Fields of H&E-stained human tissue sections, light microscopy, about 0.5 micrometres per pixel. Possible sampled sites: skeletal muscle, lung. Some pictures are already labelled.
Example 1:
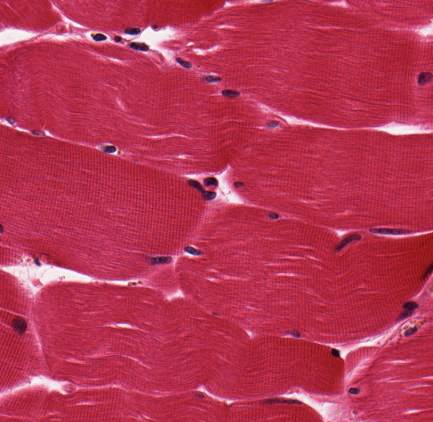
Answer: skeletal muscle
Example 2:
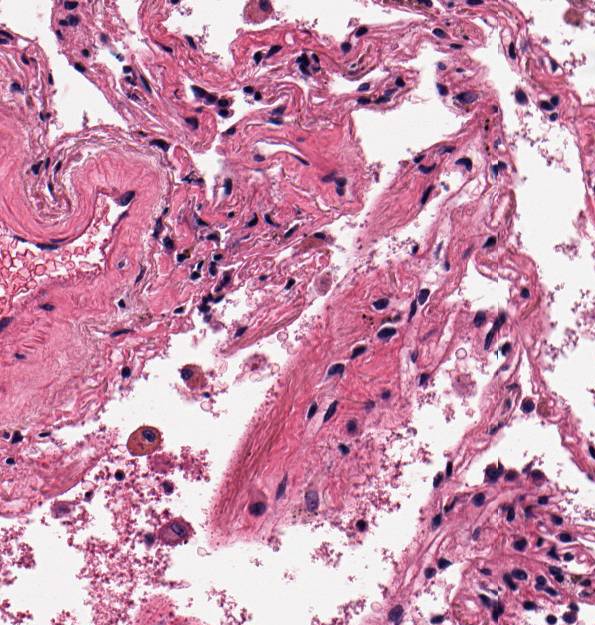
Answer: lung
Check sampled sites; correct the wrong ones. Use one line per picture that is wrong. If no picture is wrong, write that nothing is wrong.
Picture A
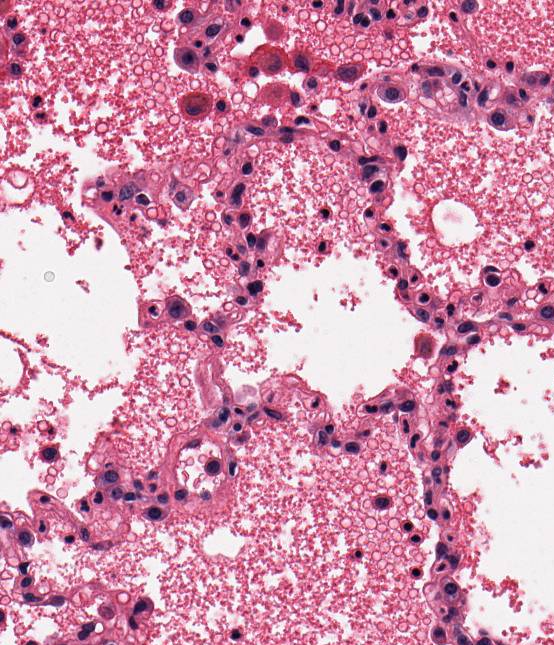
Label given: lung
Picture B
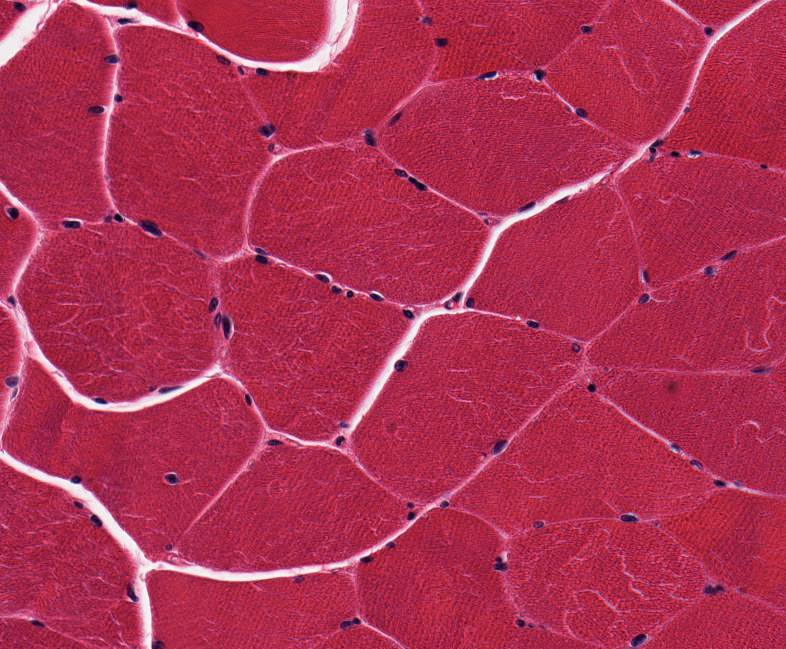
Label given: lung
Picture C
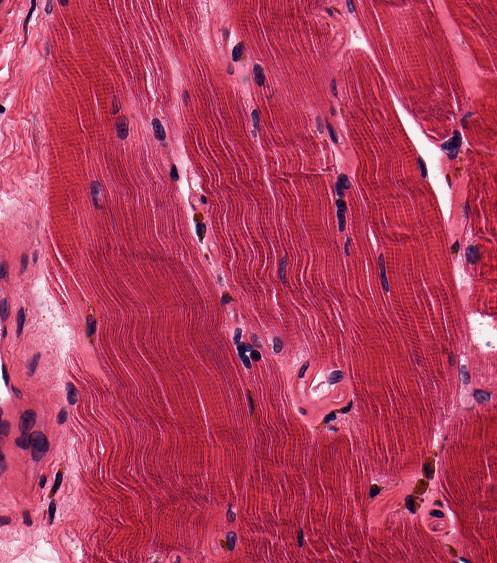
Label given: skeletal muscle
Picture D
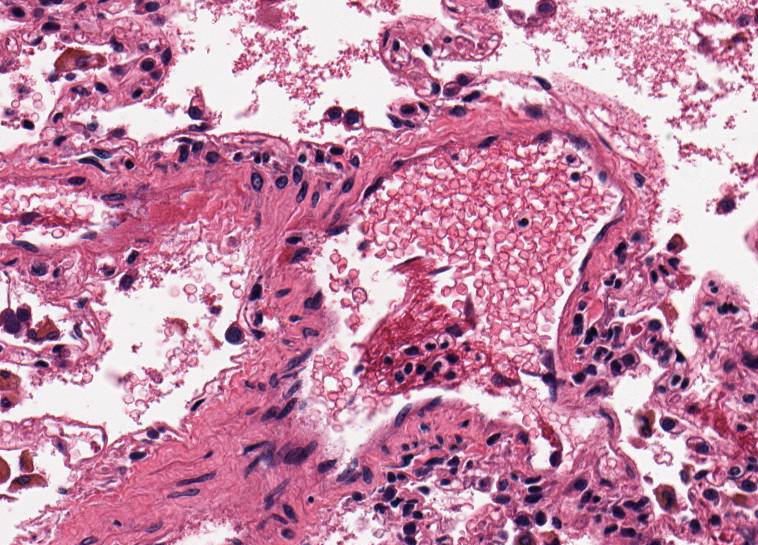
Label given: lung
B: not lung but skeletal muscle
